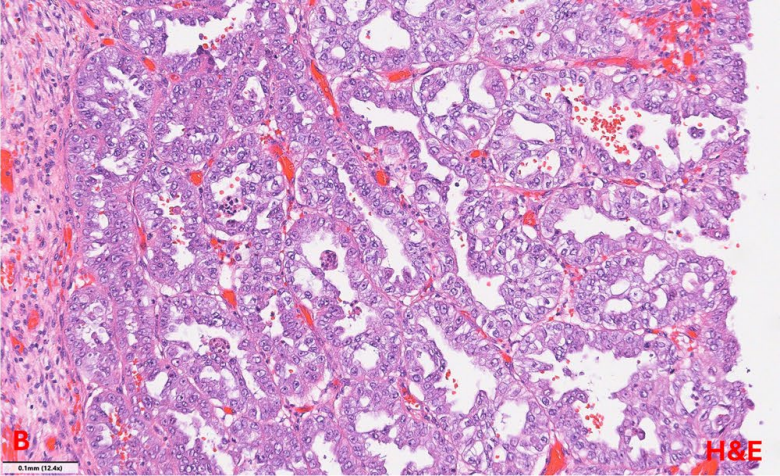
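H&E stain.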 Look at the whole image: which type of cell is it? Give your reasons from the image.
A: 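Some cells bulge into the lumens with apically placed nuclei.
Conclusion: cuboidal „hobnail“ cells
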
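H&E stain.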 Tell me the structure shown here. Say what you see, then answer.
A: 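Tubulocystic and papillary architecture. Many back-to-back tubules and small cystic spaces. Papillary fronds with thin cores project into open spaces.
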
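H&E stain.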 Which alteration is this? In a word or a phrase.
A: Clear cell carcinoma.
